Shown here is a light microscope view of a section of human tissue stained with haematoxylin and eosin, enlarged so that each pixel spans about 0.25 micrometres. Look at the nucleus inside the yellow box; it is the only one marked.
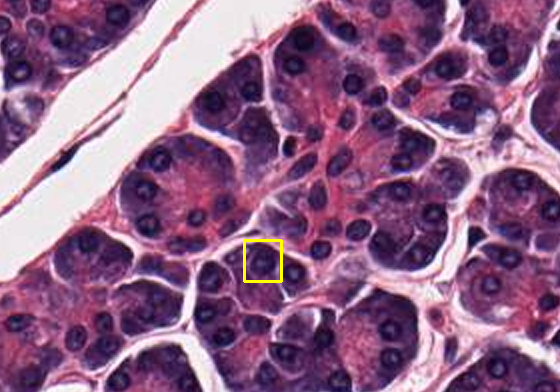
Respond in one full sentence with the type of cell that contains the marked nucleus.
Part of a pancreatic acinar cell is the marked nucleus.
